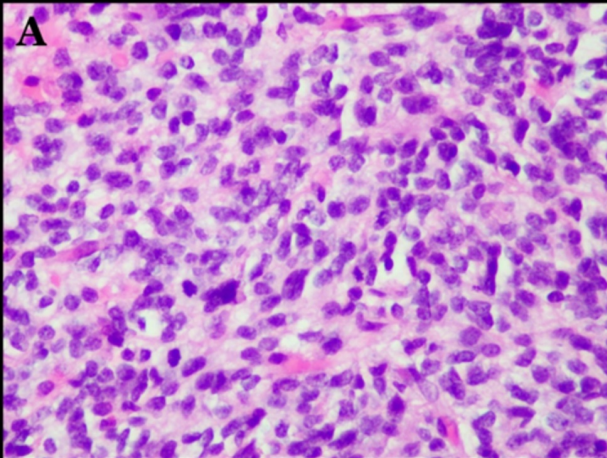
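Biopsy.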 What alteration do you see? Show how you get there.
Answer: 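Marked hypercellularity. Nuclei are densely packed across the whole field. There is little stroma between the cells.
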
